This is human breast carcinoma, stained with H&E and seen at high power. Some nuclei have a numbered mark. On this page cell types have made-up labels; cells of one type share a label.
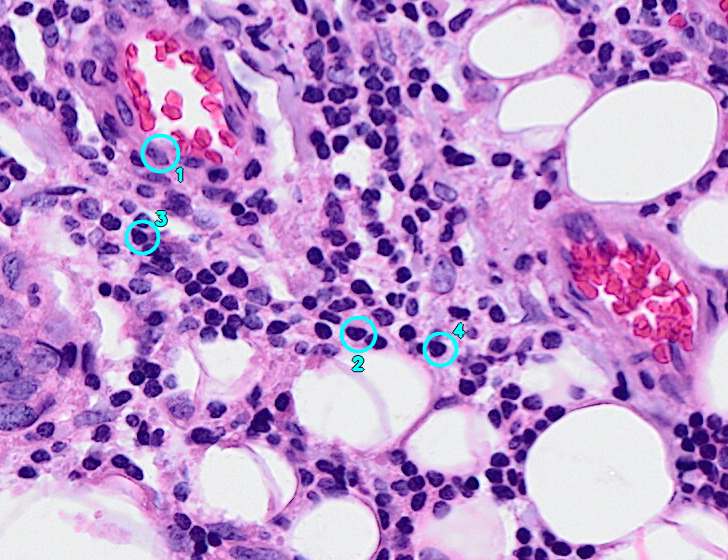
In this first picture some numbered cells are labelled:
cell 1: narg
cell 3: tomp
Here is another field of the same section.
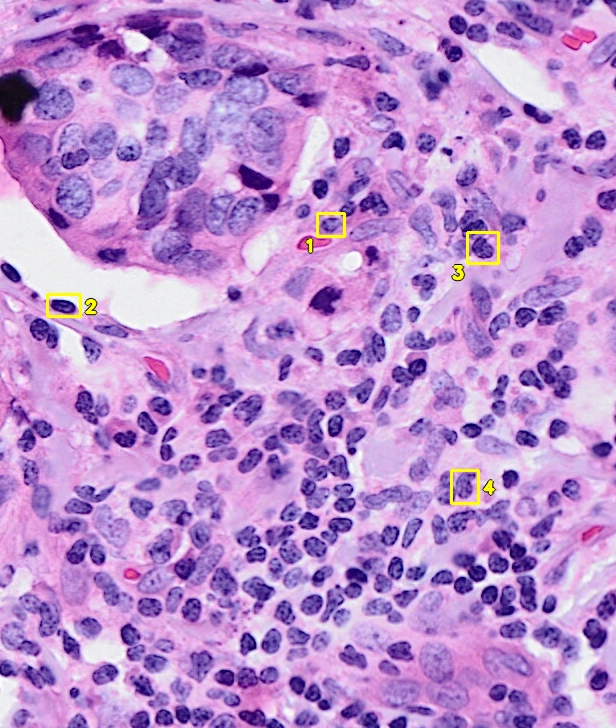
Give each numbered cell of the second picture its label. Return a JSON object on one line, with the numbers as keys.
{"1": "narg", "2": "tomp", "3": "tomp", "4": "tomp"}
